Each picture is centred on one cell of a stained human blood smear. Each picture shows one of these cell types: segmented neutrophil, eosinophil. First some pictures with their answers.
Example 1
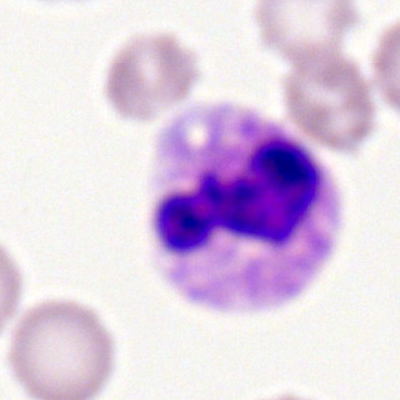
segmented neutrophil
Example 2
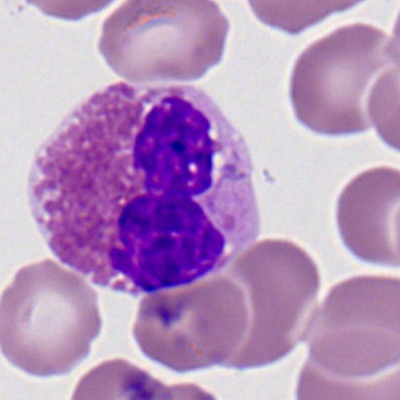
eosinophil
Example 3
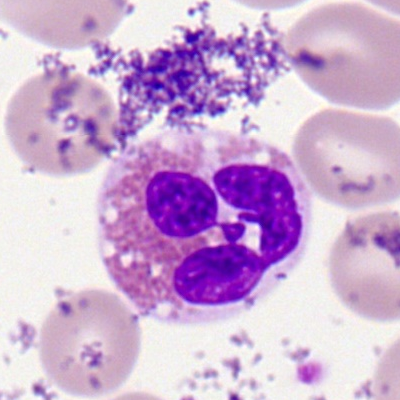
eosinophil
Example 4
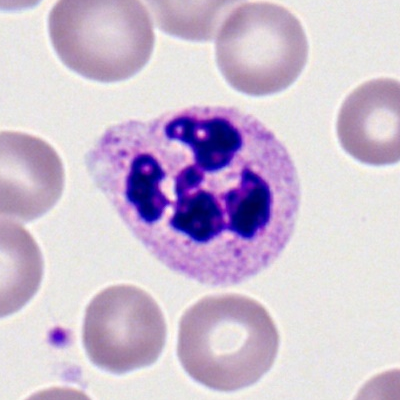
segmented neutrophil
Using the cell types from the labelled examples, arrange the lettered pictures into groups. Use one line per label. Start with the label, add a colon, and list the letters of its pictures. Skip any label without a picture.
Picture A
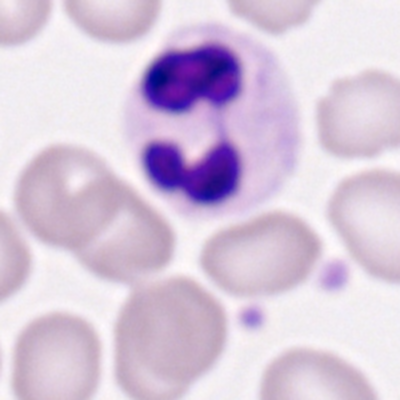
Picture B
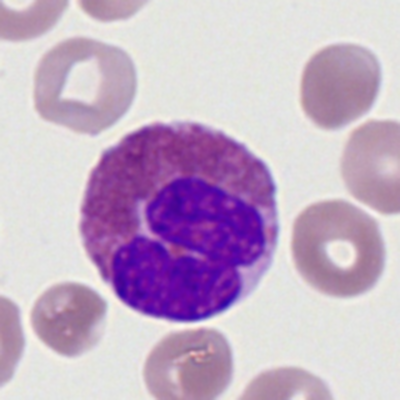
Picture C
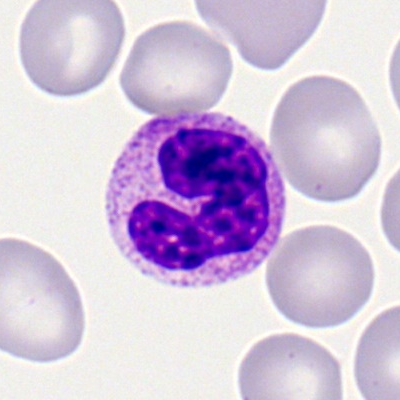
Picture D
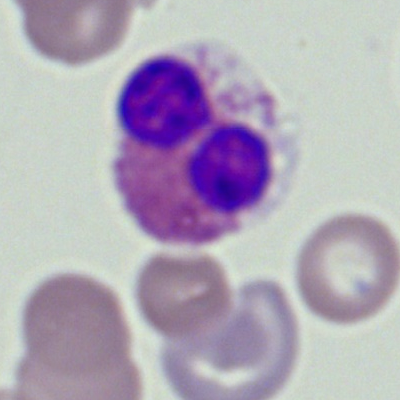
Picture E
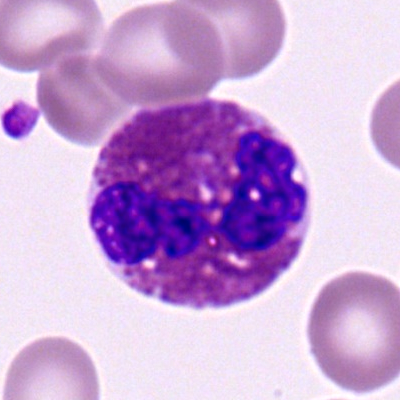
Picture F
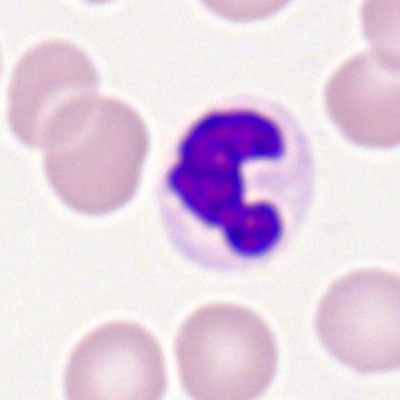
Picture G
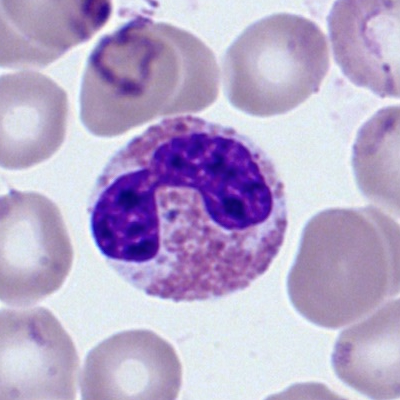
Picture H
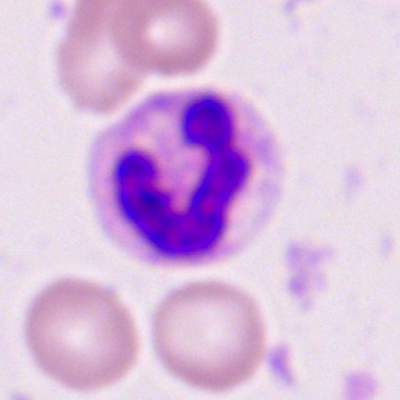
segmented neutrophil: A, C, F, H
eosinophil: B, D, E, G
